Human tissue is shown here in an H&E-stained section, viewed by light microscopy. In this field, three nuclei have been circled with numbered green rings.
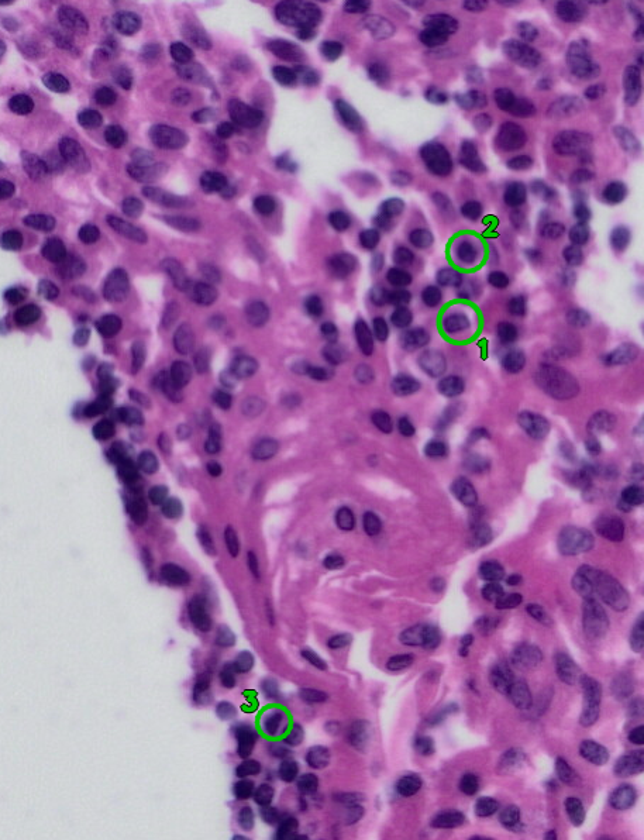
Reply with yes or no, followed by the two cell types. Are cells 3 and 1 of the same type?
No, cell number 3 is a small lymphocyte and cell number 1 is a plasma cell.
